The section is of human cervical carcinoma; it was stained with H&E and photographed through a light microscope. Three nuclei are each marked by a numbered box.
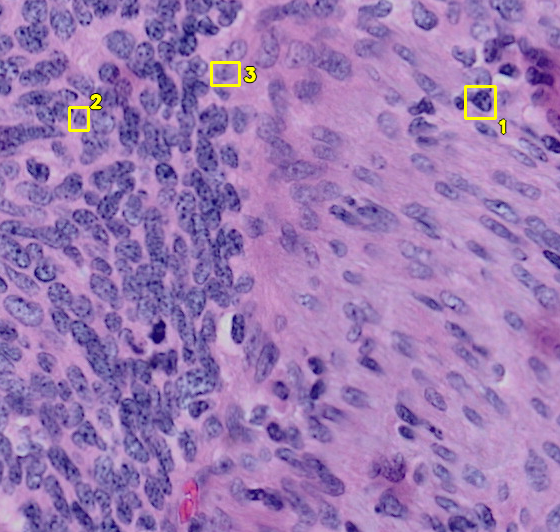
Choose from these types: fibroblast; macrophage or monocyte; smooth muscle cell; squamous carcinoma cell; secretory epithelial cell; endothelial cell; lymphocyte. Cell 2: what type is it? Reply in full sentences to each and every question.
Corresponding to a squamous carcinoma cell is the cell labelled 2.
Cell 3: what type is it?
The cell numbered 3 represents a squamous carcinoma cell.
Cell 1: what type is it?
Belonging to a lymphocyte is the nucleus that carries the number 1.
